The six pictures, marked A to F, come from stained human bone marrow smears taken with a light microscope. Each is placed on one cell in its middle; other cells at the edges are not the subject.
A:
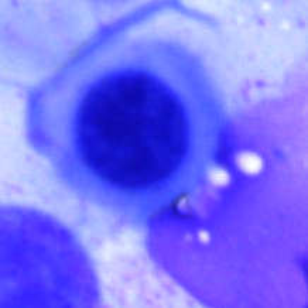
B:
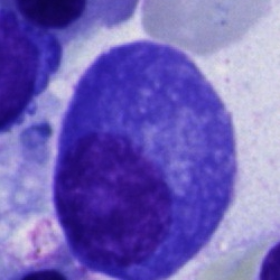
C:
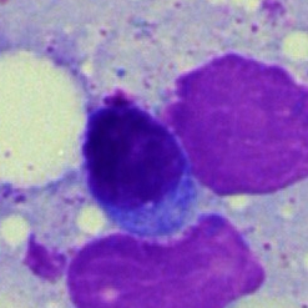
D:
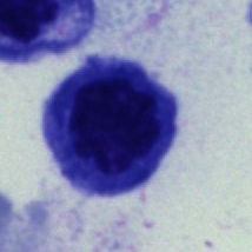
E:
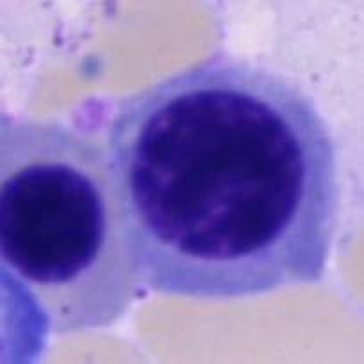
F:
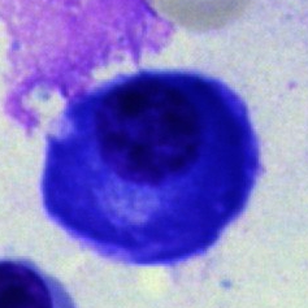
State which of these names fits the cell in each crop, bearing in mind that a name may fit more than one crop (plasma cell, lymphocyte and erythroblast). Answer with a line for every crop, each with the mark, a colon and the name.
A: erythroblast
B: plasma cell
C: lymphocyte
D: erythroblast
E: erythroblast
F: plasma cell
